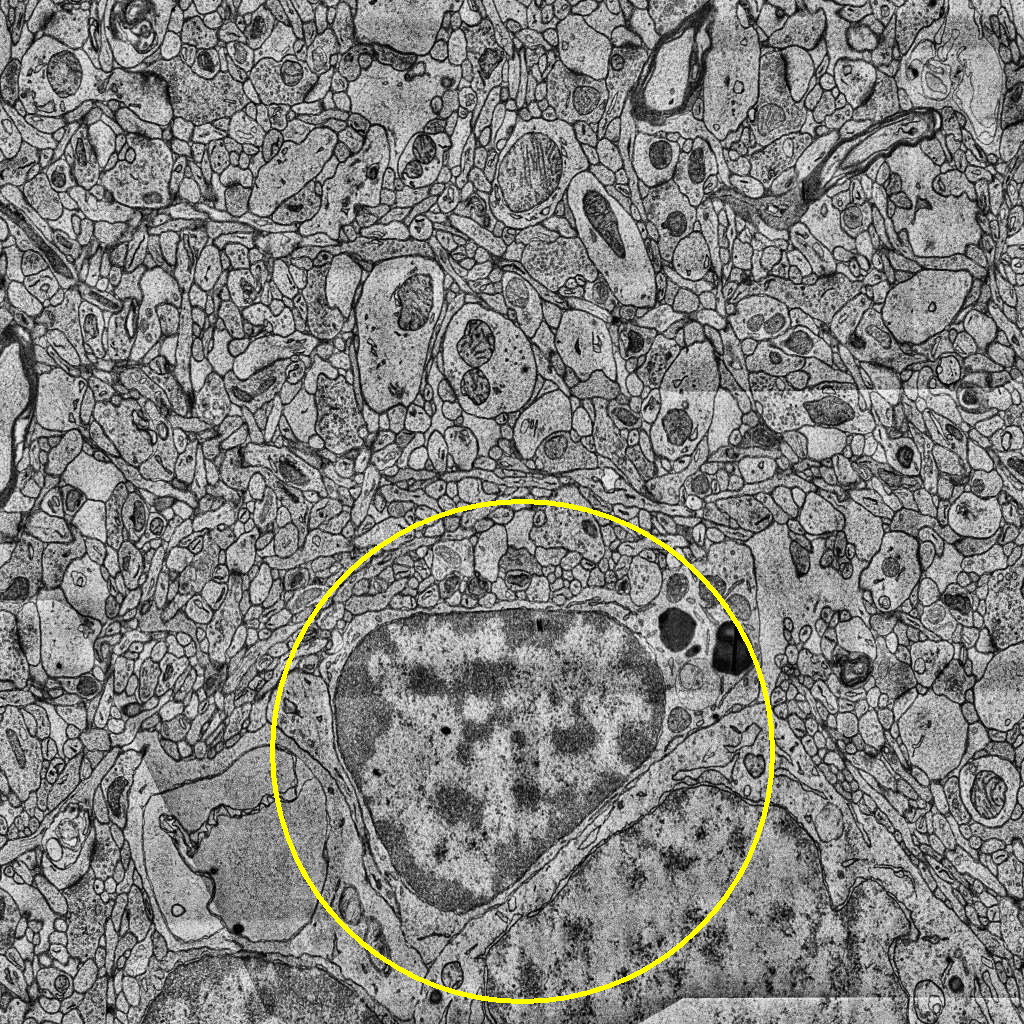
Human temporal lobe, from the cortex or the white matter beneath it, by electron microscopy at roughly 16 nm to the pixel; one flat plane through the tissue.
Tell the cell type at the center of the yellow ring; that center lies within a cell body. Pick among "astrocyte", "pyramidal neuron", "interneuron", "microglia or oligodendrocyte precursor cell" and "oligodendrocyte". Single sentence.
The ring's center lies in the body of a microglial cell or oligodendrocyte precursor cell.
